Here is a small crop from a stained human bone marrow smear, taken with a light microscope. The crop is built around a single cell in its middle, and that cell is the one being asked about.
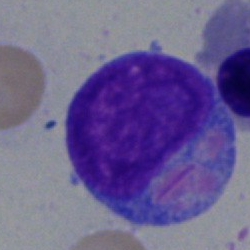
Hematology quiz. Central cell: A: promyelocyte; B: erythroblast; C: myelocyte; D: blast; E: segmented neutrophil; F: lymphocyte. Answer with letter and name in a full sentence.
Option D gives the correct identity of the central cell, namely a blast.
